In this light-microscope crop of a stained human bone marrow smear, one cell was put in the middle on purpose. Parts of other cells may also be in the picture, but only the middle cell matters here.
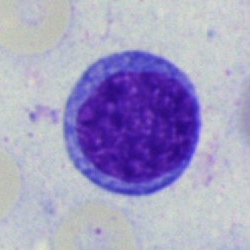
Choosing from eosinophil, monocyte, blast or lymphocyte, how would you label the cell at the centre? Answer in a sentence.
The cell at the middle of the frame should be recorded as a blast.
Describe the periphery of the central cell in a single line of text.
Thanks for asking; the cell edge is smooth and has no projections.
